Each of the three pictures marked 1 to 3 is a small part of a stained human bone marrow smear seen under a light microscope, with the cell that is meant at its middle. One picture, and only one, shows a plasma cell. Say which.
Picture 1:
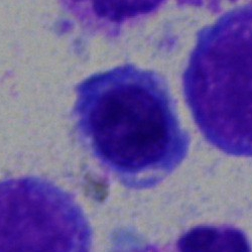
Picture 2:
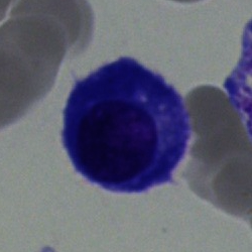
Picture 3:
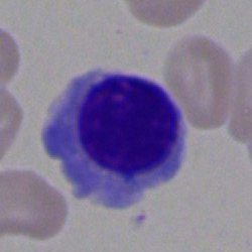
2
